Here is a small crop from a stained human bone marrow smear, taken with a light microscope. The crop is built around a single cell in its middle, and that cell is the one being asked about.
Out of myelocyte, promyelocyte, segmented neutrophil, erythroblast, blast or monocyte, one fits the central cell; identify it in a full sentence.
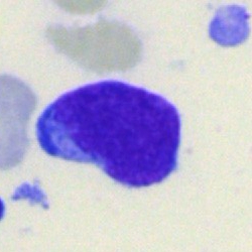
What the crop centres on is a blast.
